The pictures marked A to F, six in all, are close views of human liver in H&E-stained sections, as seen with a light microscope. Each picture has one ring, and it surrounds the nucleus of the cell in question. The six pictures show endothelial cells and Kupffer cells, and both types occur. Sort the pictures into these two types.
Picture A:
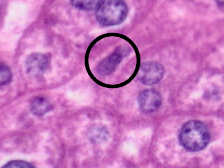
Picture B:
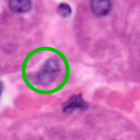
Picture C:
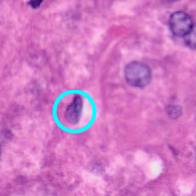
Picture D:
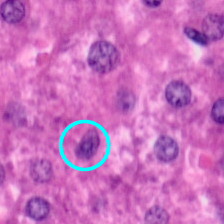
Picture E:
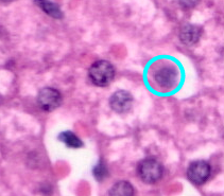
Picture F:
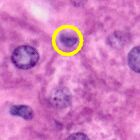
A: Kupffer cell
B: Kupffer cell
C: endothelial cell
D: endothelial cell
E: Kupffer cell
F: endothelial cell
